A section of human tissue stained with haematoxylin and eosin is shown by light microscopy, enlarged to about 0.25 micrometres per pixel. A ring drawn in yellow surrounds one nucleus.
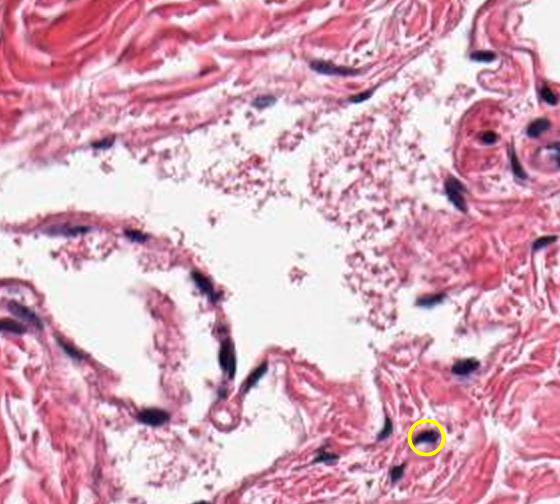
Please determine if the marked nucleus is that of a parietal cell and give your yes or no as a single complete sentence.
No, the cell whose nucleus is marked is a supporting cell and not a parietal cell.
